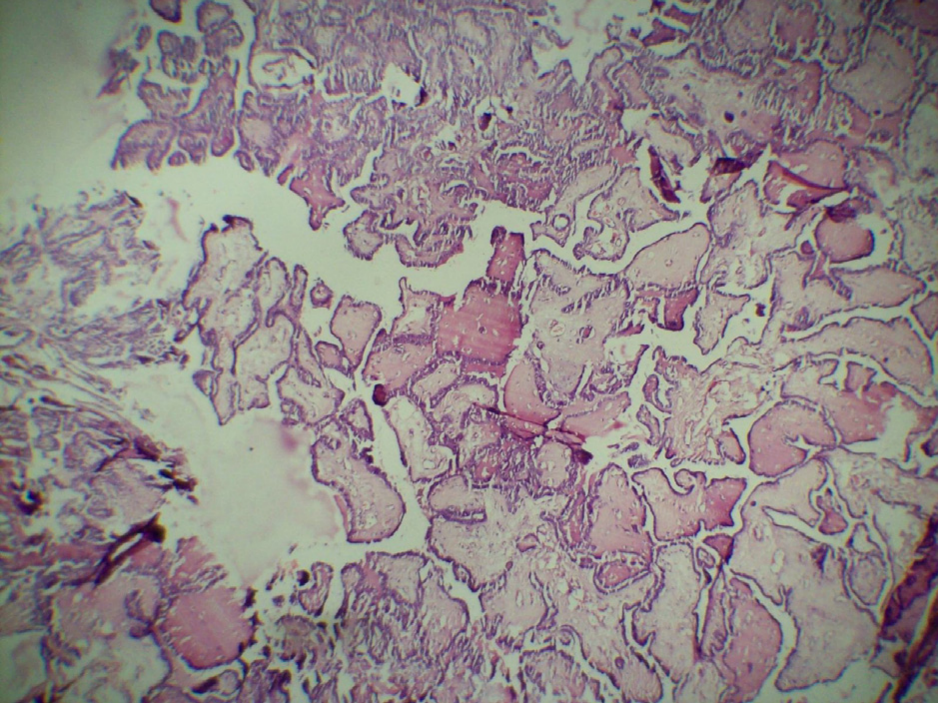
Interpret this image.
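This low-power view shows a tumour built of many branching, finger-like papillae that are packed closely together across the field. Each papilla has a broad, pale pink core, and a thin rim of darker purple-staining epithelial cells lines that core. Narrow clear spaces separate the papillae. At this magnification the details of individual nuclei cannot be made out.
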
